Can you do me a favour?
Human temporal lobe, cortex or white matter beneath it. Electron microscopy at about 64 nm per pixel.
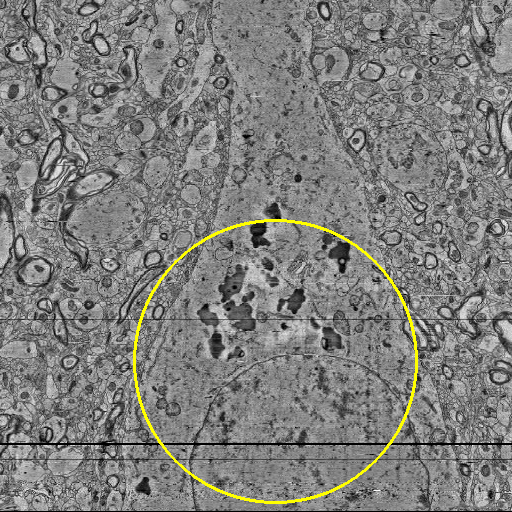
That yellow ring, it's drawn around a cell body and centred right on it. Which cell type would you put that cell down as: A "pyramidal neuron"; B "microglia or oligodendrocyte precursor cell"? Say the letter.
A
